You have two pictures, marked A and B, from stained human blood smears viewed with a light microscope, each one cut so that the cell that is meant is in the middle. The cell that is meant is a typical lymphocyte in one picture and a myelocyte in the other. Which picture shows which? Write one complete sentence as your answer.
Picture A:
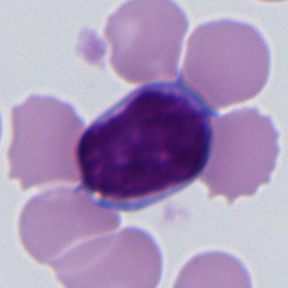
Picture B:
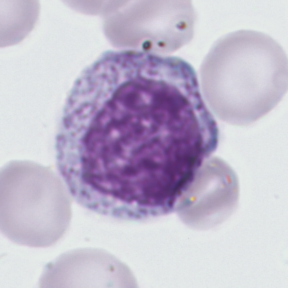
Picture A shows a typical lymphocyte and picture B shows a myelocyte.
